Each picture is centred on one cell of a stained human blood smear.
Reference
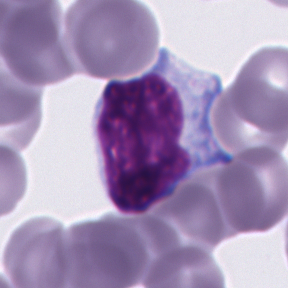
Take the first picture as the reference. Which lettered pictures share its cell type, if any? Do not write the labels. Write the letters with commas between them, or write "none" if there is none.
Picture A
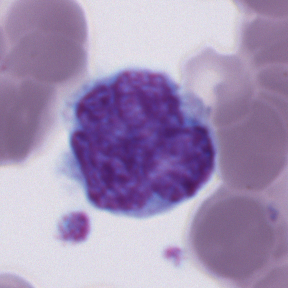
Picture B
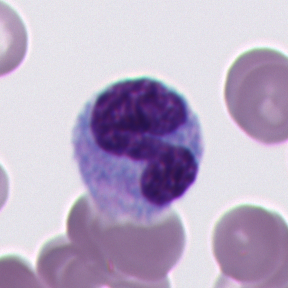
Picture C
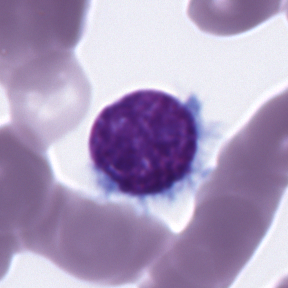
none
